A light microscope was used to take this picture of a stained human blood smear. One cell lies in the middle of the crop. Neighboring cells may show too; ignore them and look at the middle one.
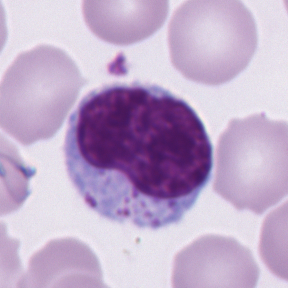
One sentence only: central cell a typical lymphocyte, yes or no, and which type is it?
No, the cell at the centre is categorised not as a typical lymphocyte but as a large granular lymphocyte.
